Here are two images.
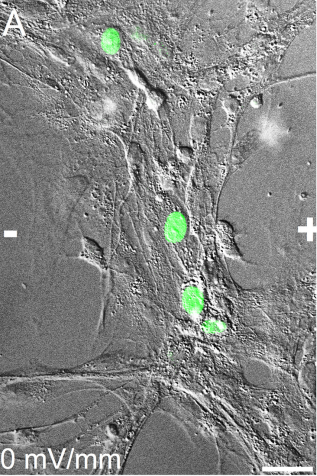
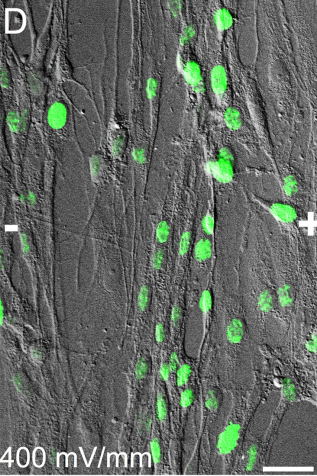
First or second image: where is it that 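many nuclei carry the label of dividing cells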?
the second image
